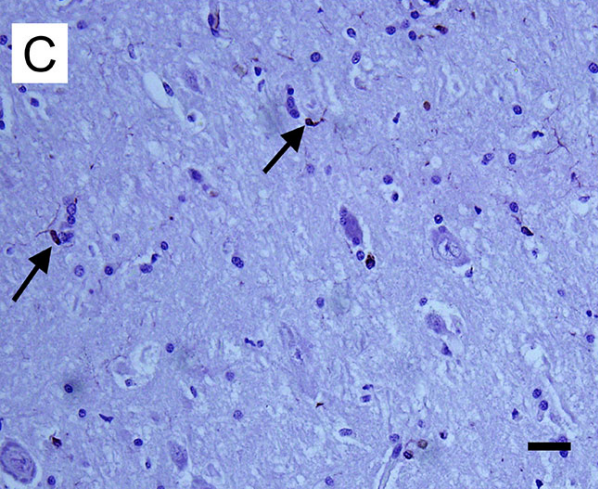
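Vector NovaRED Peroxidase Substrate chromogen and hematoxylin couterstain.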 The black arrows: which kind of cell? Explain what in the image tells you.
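Microglia. The arrows point to small cells with dark, elongated nuclei and thin brown-stained processes. These small cells lie in brain neuropil beside large neurons with pale nuclei.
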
